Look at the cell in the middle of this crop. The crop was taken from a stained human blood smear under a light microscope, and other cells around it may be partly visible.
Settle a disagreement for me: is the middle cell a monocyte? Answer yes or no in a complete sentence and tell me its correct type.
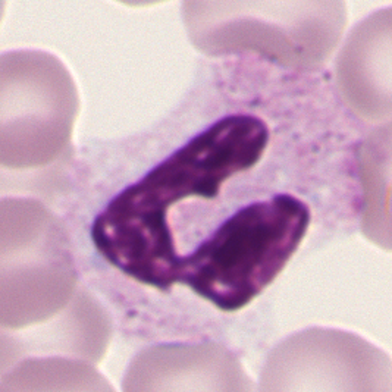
No, looking at the central cell, it is a segmented neutrophil rather than a monocyte.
